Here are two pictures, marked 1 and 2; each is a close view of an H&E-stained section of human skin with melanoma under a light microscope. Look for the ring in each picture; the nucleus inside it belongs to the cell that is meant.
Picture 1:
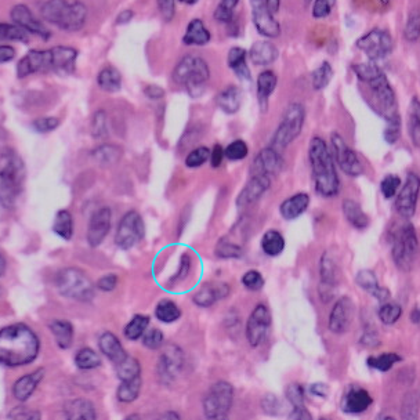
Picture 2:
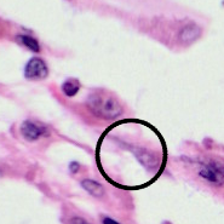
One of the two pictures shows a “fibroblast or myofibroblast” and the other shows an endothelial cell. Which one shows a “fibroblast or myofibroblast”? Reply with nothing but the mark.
2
